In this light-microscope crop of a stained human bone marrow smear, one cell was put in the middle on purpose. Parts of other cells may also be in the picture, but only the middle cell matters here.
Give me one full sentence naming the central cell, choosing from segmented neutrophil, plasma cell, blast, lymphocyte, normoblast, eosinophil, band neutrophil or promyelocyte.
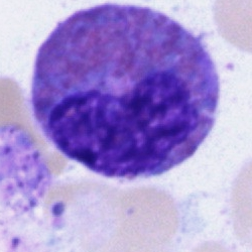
The cell occupying the middle of the crop is an eosinophil.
